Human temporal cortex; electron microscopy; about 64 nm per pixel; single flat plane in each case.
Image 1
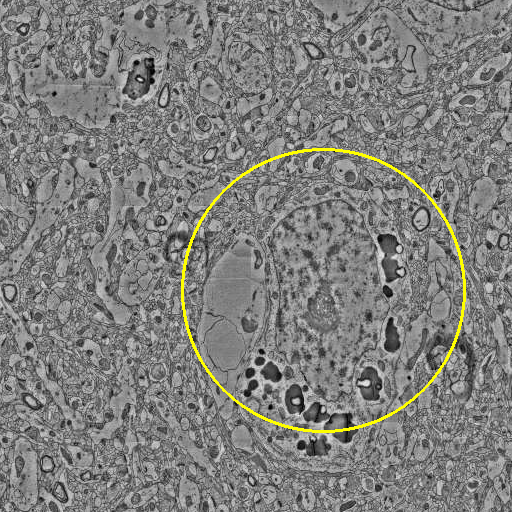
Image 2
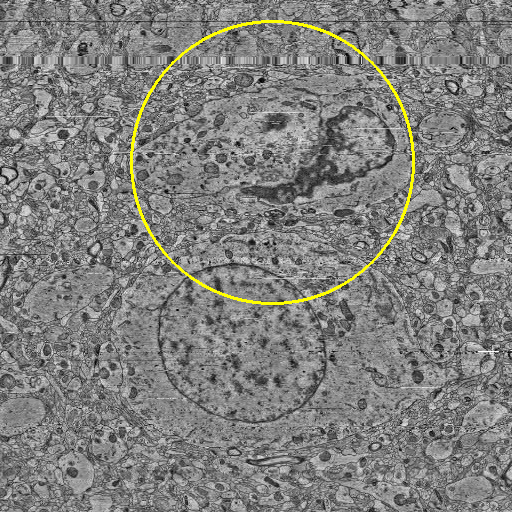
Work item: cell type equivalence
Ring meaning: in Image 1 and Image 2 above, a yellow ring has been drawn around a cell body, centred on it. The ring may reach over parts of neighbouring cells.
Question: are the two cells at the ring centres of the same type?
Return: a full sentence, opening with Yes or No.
Yes, the two centred cells are of the same type.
